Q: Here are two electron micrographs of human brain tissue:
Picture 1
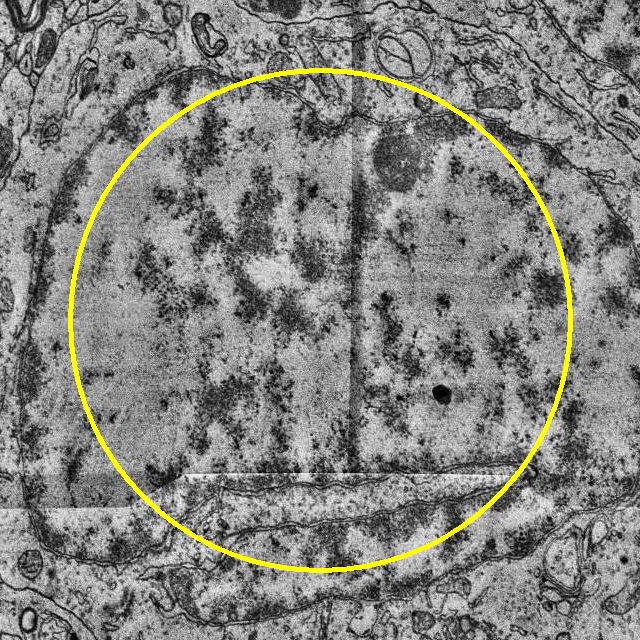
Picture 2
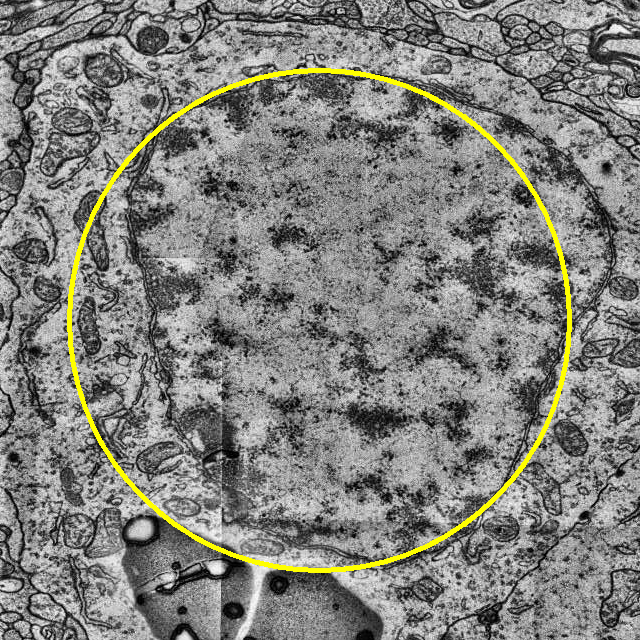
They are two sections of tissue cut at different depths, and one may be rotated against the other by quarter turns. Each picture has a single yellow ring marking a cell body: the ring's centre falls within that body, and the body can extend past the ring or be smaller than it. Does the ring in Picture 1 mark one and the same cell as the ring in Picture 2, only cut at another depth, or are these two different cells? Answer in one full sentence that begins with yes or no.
Yes, a single cell is marked twice, once by each yellow ring.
